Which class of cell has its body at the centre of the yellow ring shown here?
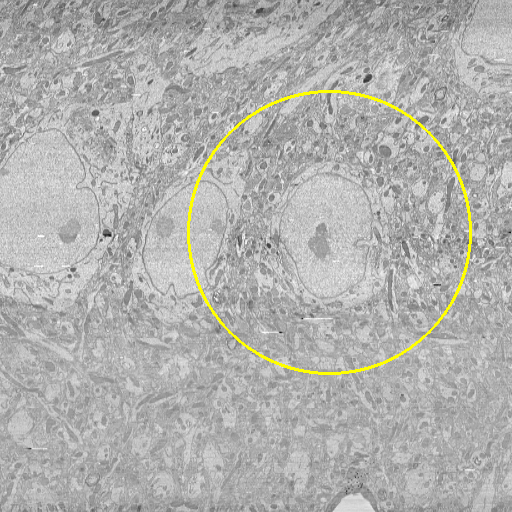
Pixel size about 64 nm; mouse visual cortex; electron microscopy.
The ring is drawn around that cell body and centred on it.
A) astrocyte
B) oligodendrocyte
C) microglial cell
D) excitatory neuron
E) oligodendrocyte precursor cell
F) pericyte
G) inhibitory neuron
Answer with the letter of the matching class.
G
